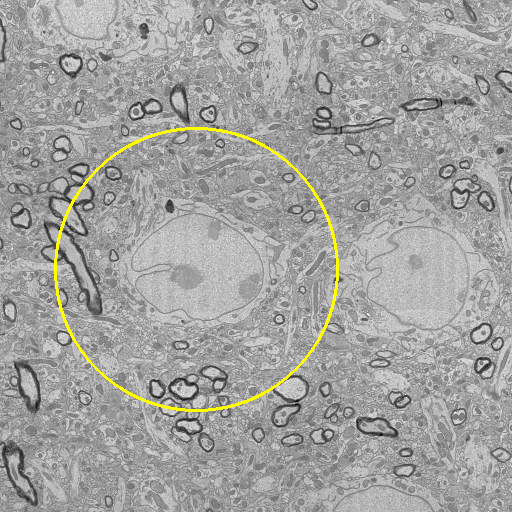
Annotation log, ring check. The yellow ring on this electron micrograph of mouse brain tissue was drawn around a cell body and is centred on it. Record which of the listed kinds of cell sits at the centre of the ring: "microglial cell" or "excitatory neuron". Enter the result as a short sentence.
The cell at the centre of the ring is an excitatory neuron.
